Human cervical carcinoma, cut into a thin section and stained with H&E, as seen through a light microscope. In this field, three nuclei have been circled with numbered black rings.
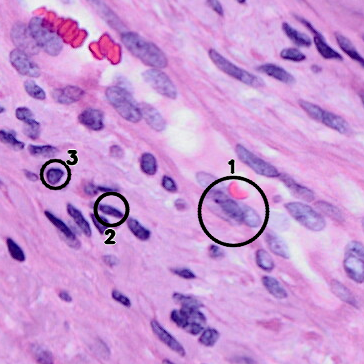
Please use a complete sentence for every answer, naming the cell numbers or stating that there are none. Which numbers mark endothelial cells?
Cell 1 is an endothelial cell; every other numbered cell is something else.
